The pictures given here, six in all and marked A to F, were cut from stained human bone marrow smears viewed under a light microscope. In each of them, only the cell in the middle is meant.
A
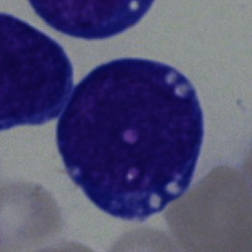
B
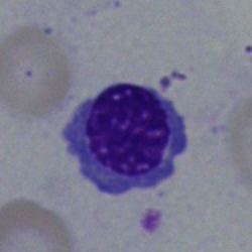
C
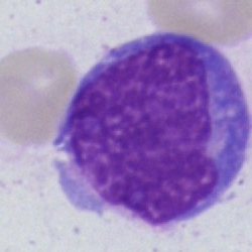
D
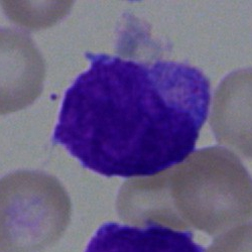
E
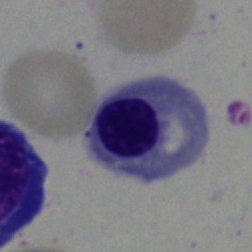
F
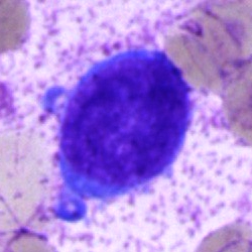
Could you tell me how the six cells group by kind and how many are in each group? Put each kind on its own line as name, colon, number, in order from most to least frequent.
blast: 4
normoblast: 2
